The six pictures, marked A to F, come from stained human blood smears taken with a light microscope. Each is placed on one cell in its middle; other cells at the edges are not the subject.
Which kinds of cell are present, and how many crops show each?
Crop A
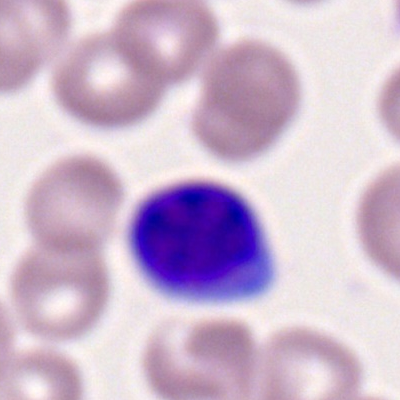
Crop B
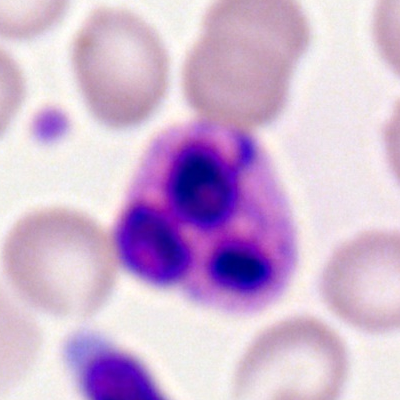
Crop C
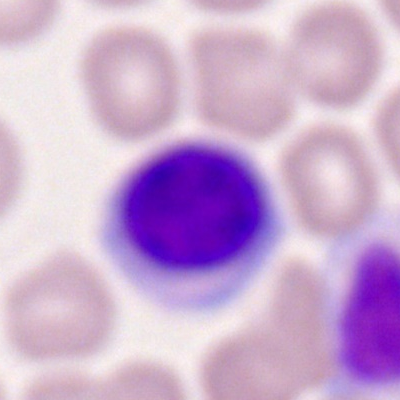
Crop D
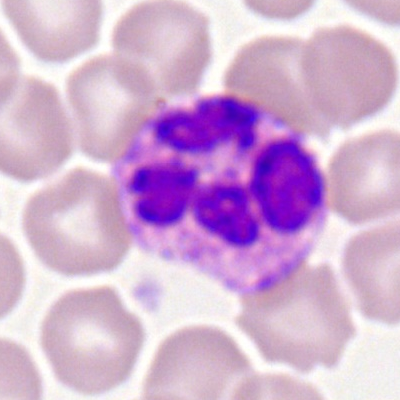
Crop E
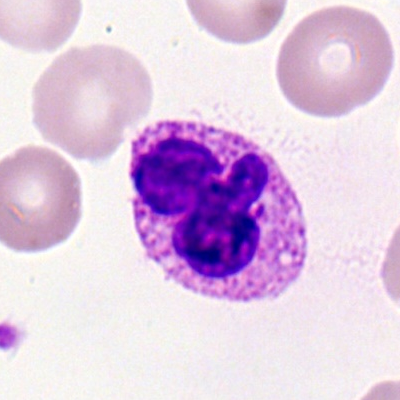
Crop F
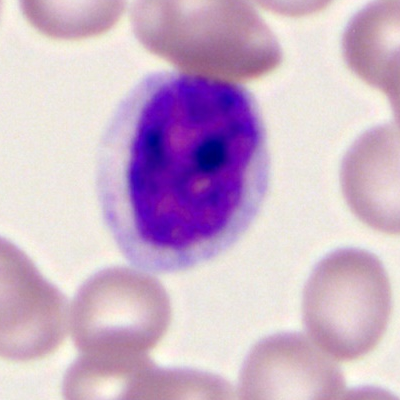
lymphocyte: 3
basophil: 3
